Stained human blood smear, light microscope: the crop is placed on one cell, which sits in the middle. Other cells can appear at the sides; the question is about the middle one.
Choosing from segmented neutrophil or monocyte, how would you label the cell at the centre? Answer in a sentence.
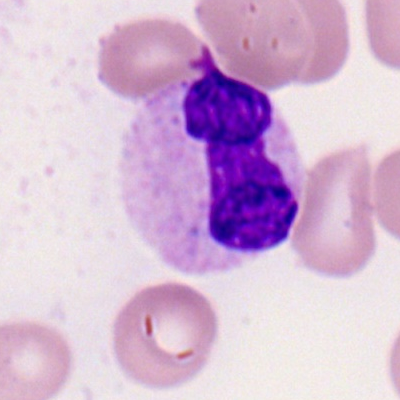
This crop is built around a segmented neutrophil at its centre.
